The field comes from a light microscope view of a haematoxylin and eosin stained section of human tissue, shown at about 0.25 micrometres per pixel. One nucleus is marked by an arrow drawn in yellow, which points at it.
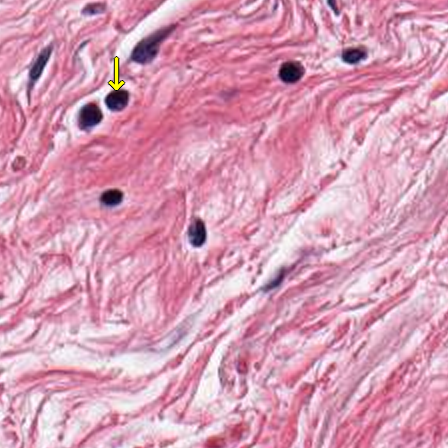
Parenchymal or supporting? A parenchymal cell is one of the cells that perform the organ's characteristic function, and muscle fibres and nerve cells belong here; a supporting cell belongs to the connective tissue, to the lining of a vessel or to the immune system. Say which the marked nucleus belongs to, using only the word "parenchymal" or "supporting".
supporting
